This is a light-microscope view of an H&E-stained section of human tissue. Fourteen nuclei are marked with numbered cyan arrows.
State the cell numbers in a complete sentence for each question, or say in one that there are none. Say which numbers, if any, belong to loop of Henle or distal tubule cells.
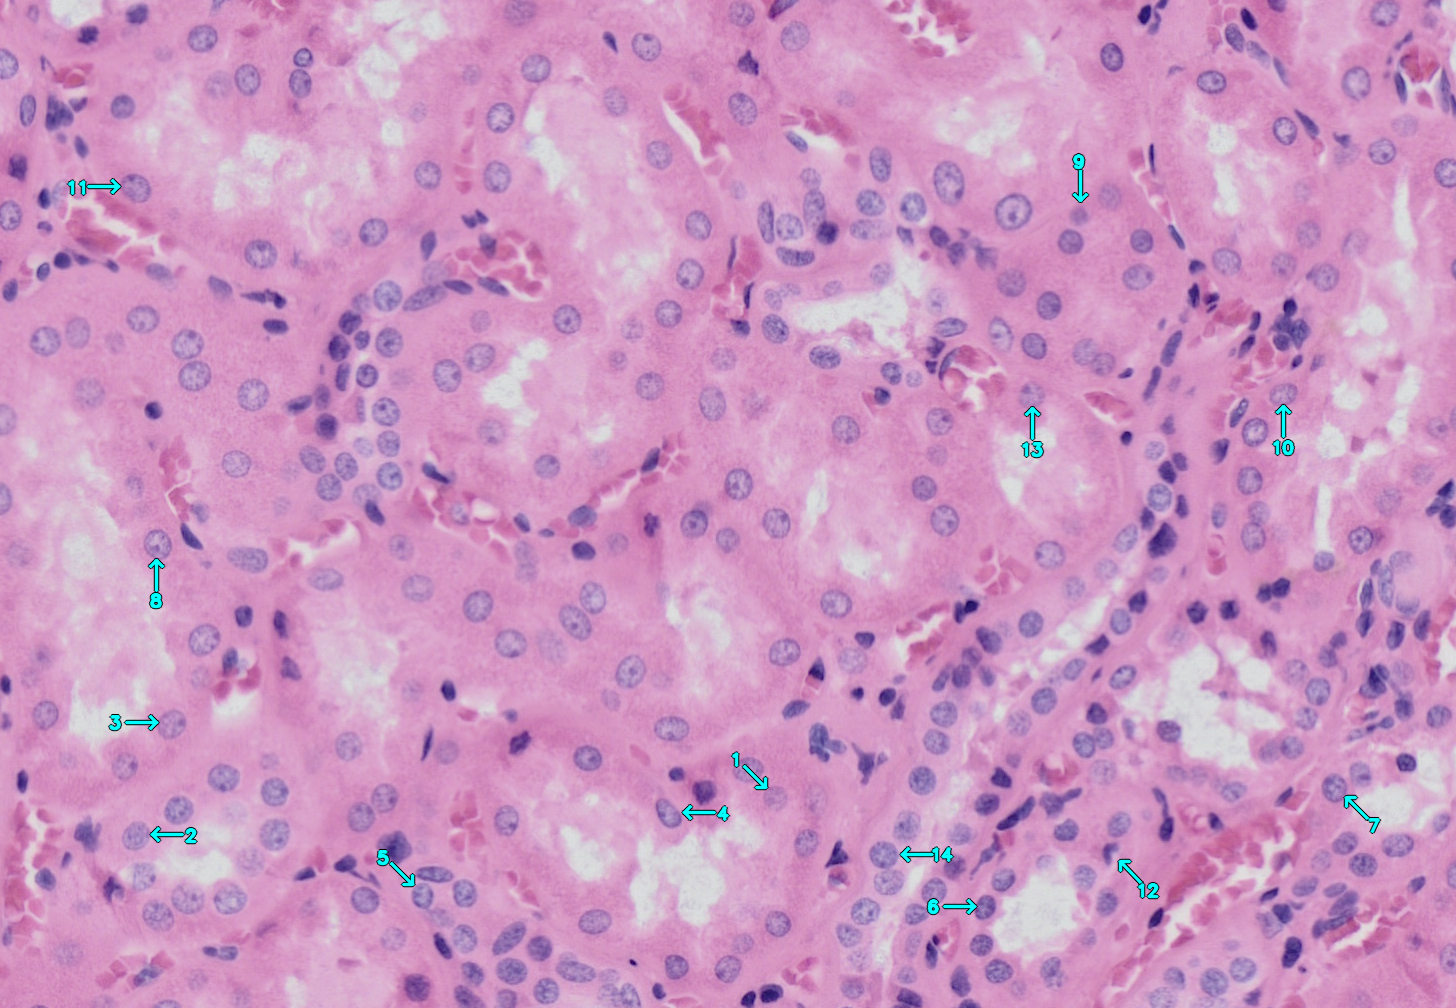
The cells numbered 2, 6, 7 and 12 are identified as loop of Henle or distal tubule cells.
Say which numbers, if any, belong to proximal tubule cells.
Cells 1, 3, 4, 8, 9, 10, 11 and 13 are recognised here as proximal tubule cells.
